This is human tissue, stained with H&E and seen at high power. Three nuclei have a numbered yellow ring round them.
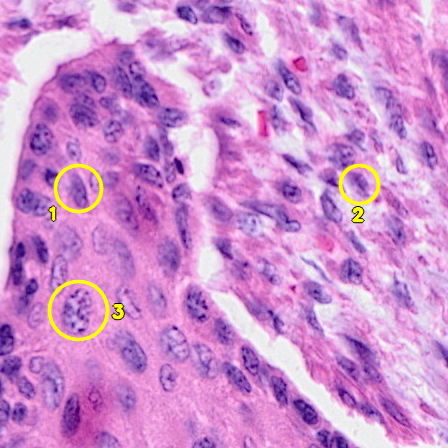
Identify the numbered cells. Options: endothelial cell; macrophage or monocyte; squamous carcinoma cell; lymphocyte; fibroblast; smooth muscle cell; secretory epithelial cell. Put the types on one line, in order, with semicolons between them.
squamous carcinoma cell; fibroblast; squamous carcinoma cell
